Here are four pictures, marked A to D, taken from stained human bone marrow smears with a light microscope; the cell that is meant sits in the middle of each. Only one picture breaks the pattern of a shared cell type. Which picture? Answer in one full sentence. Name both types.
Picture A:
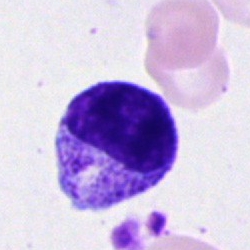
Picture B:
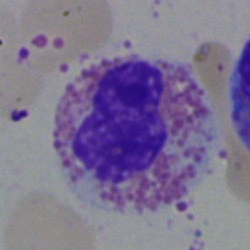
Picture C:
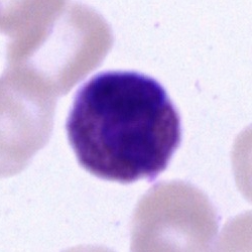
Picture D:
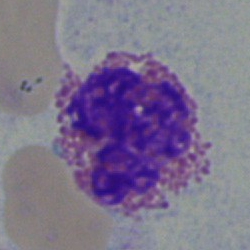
All pictures except A show eosinophils; picture A shows a metamyelocyte.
